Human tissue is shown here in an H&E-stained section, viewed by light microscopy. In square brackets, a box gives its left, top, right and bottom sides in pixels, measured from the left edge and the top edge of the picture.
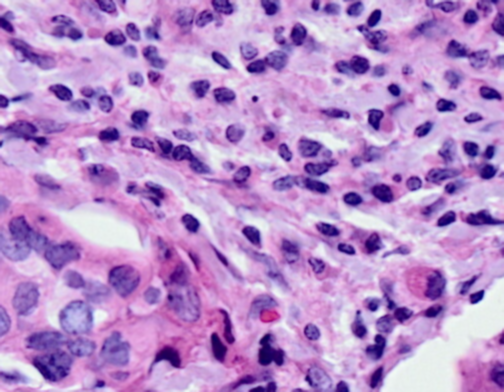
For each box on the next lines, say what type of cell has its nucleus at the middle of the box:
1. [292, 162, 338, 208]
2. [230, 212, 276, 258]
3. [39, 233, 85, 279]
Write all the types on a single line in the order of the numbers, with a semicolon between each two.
lymphocyte; lymphocyte; carcinoma cell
